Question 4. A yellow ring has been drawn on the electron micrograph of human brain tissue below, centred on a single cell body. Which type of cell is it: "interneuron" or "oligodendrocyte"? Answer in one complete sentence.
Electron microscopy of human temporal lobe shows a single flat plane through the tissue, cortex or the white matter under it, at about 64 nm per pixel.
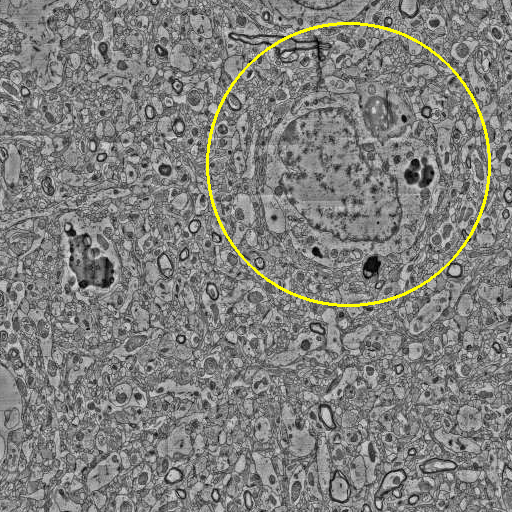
This cell body belongs to an interneuron.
